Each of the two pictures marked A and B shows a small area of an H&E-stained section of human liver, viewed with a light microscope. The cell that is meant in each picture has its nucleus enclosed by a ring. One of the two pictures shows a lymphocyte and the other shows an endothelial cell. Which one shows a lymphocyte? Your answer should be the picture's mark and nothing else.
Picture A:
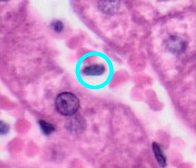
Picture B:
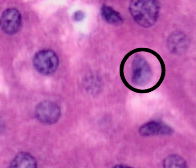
A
